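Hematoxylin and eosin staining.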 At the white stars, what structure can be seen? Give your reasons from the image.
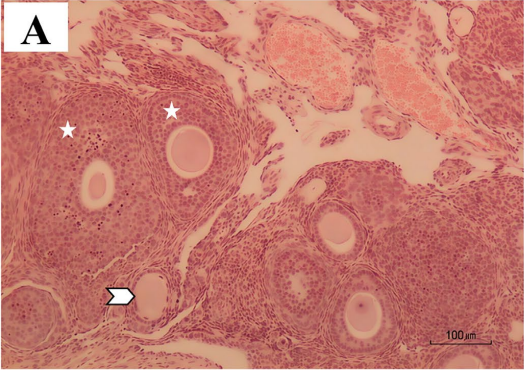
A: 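Each star lies on a large round follicle with many layers of granulosa cells. A central oocyte with a pale refractile coat is surrounded by the cell layers. No large fluid-filled cavity is present in these follicles.
Hence: secondary follicles.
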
